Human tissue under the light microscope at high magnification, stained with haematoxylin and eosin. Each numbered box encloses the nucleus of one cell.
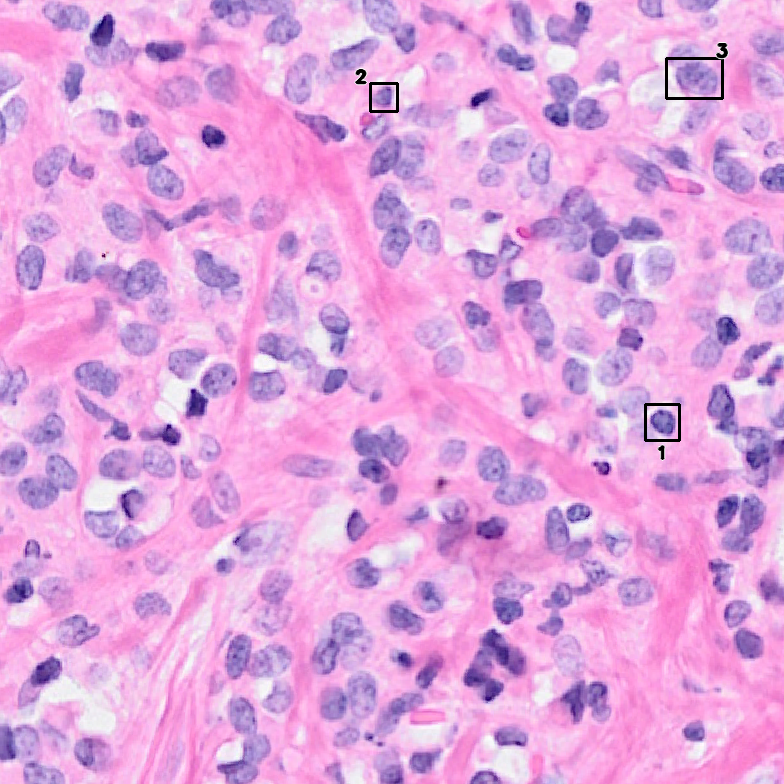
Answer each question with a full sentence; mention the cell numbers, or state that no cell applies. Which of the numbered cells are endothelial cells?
Cell 2 is an endothelial cell, which is true of none of the other numbered cells.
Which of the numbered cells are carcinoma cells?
Cell 3 is a carcinoma cell and is the only numbered cell of that kind.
